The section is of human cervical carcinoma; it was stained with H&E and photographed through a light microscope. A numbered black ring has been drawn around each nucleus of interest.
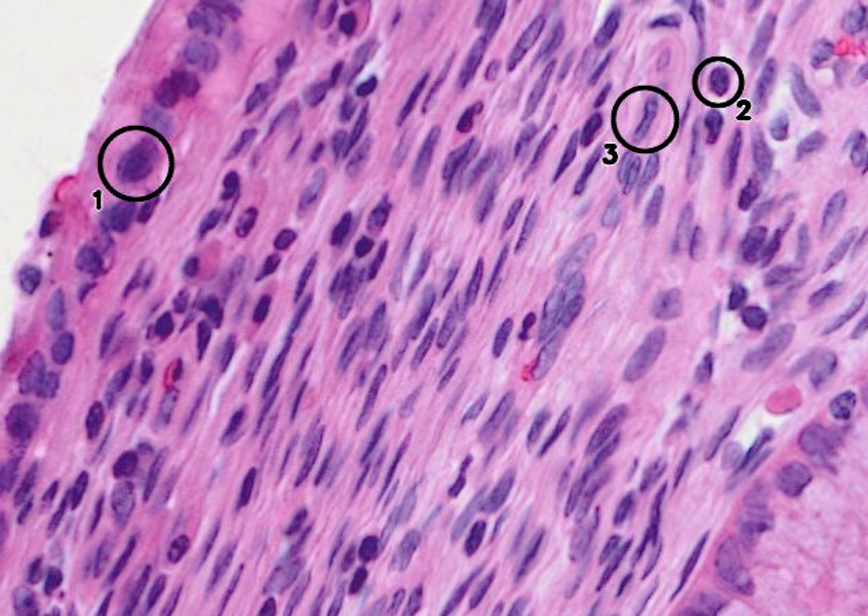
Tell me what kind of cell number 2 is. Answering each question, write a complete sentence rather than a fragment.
The cell whose nucleus carries the number 2 is a lymphocyte.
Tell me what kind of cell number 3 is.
In this section, the cell tagged 3 is an endothelial cell.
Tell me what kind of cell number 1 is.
Cell 1, as marked in the section, is a secretory epithelial cell.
